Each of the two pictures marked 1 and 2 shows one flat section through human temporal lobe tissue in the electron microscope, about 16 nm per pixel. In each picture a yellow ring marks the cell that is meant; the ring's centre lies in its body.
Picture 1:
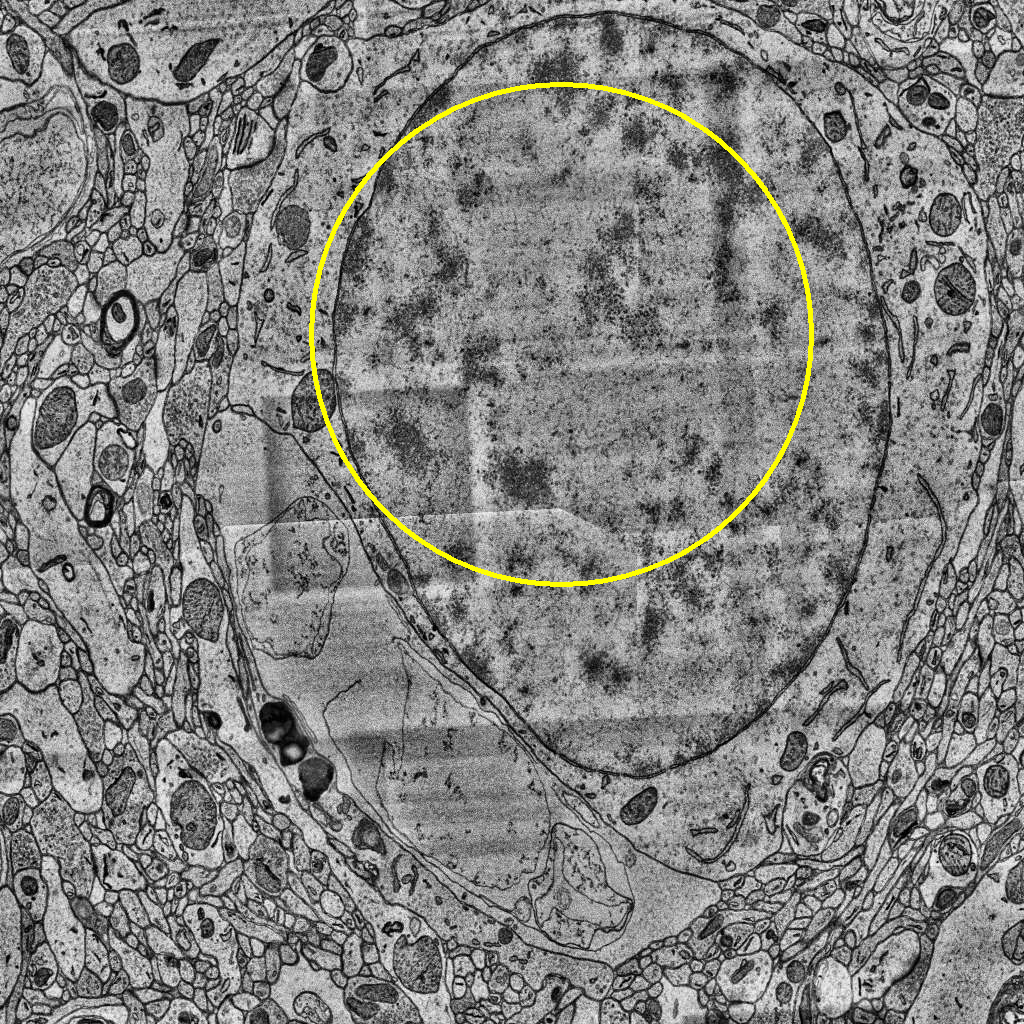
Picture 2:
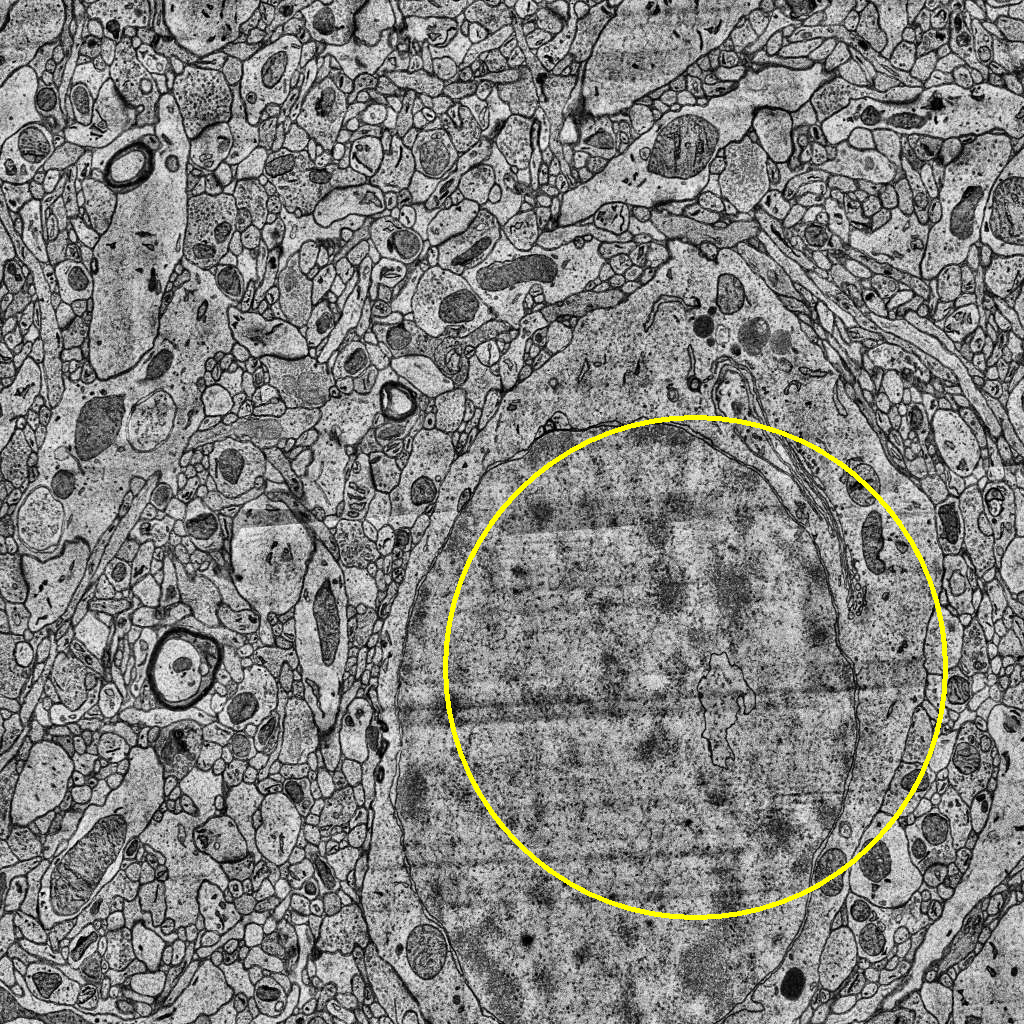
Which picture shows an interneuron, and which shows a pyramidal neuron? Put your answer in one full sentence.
It is picture 1 that shows a pyramidal neuron, and picture 2 that shows an interneuron.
